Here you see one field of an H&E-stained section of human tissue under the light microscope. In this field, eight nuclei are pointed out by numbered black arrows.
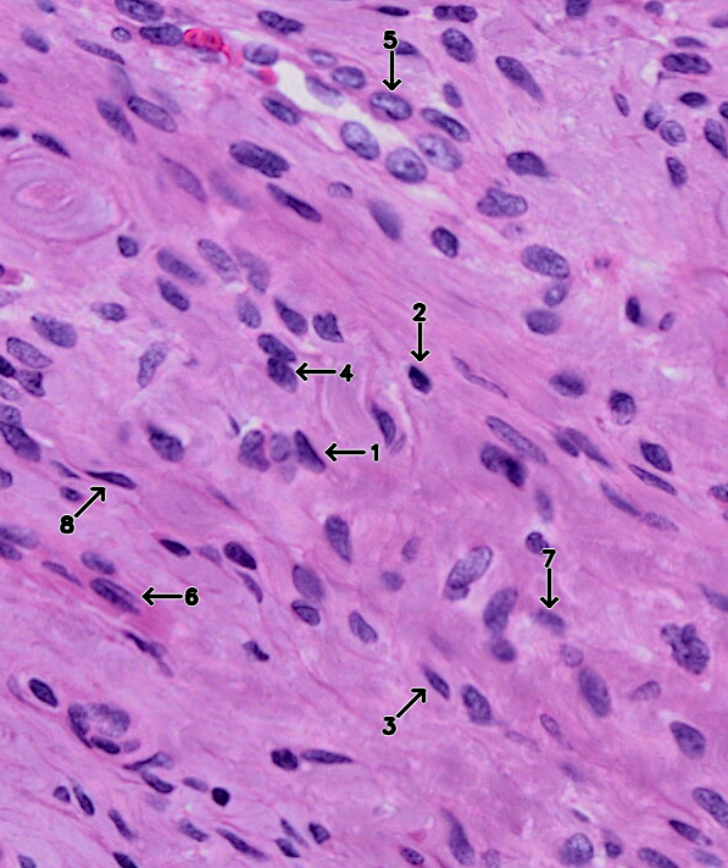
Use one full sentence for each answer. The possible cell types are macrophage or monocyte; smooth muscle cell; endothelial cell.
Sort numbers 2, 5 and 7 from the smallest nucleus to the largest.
From smallest to largest, the order is 2, 7, 5.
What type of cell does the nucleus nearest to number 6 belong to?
It is a smooth muscle cell whose nucleus is nearest to number 6.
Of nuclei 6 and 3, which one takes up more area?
It is nucleus 6, which covers about 2 times the area of nucleus 3.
